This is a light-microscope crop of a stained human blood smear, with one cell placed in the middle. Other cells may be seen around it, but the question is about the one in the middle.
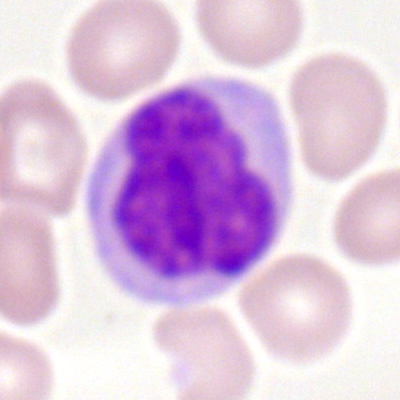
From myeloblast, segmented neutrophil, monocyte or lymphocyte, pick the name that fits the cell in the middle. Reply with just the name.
monocyte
